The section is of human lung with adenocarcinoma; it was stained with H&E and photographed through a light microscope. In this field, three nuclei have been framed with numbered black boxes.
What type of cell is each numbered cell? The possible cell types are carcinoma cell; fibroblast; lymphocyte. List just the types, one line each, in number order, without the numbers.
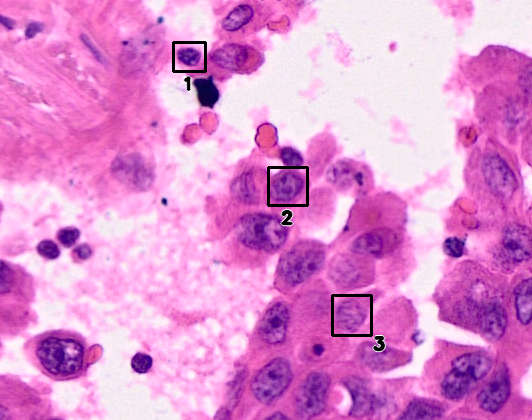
lymphocyte
carcinoma cell
carcinoma cell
